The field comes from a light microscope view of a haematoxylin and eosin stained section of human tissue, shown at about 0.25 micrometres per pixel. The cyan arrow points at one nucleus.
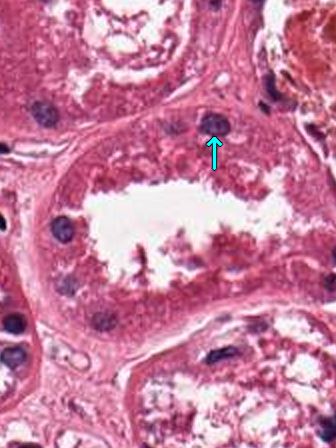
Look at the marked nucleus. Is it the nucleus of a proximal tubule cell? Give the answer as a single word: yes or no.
yes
